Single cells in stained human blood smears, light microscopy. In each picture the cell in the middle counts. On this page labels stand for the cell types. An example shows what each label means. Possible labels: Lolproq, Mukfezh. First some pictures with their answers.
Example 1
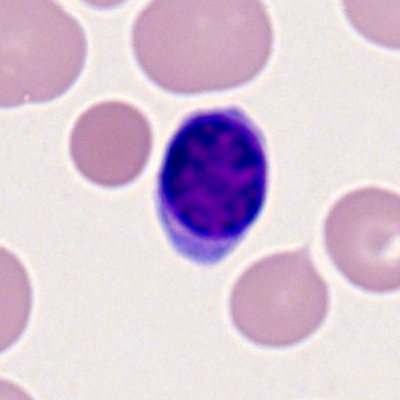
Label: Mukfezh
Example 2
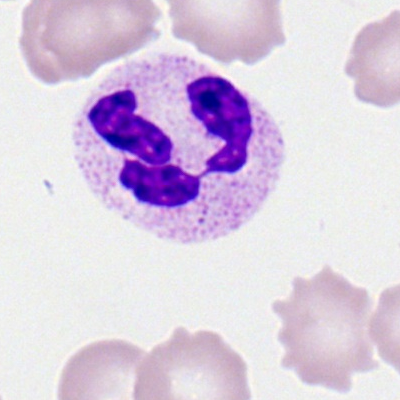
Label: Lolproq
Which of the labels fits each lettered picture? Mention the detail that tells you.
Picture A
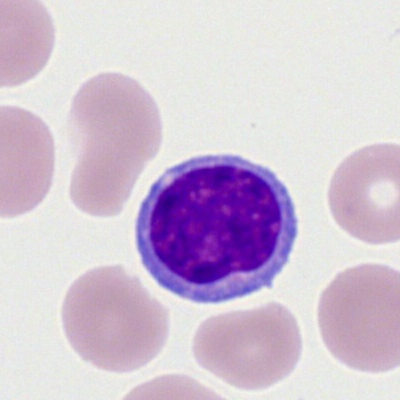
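Mukfezh: The nucleus fills most of the cell.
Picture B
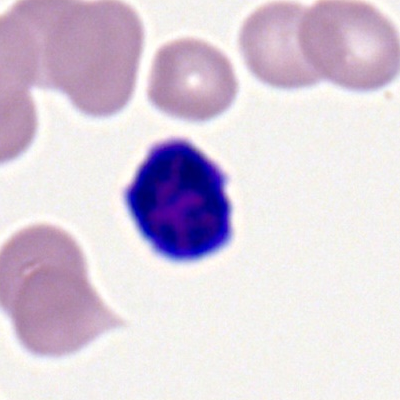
Mukfezh: The nucleus is a single unlobed mass filling almost the whole cell.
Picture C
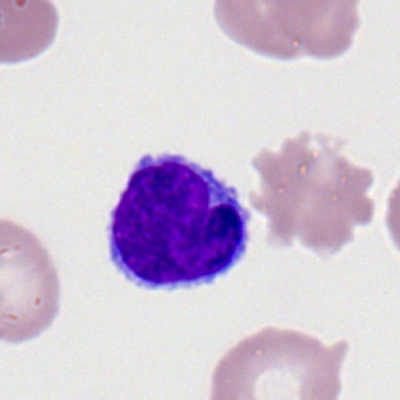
Mukfezh: The cytoplasm is a scant pale blue rim around the nucleus.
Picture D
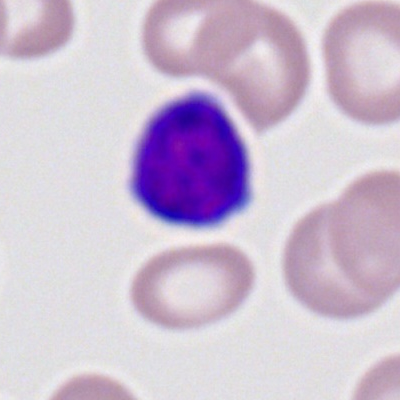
Mukfezh: The cytoplasm is only a very thin rim at the edge of the nucleus.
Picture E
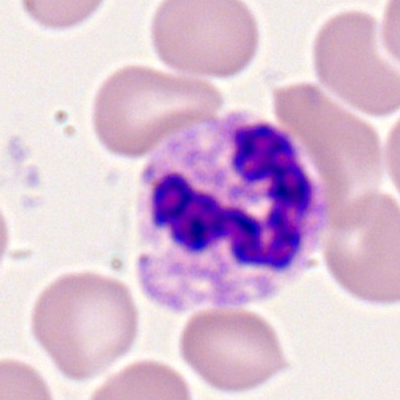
Lolproq: Ample pale pinkish-lilac cytoplasm surrounds the nucleus.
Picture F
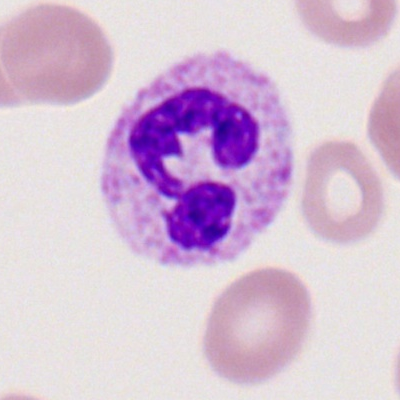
Lolproq: The cytoplasm is plentiful and pale pinkish-lilac.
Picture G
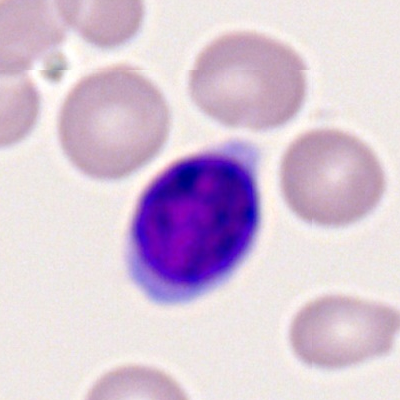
Mukfezh: The cytoplasm forms only a narrow rim around the nucleus.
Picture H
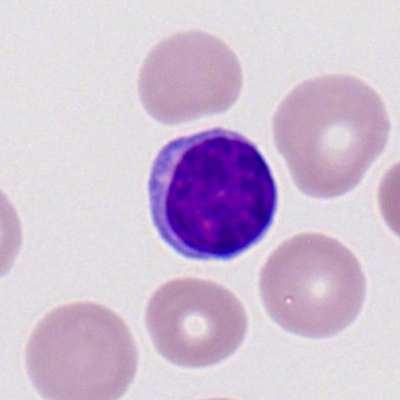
Mukfezh: The cytoplasm forms only a thin rim that is widest on the left side of the cell.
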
